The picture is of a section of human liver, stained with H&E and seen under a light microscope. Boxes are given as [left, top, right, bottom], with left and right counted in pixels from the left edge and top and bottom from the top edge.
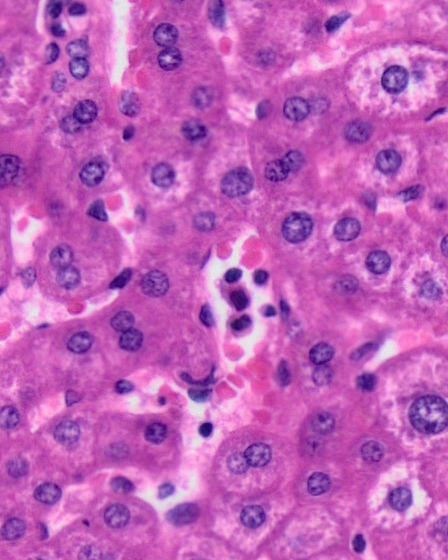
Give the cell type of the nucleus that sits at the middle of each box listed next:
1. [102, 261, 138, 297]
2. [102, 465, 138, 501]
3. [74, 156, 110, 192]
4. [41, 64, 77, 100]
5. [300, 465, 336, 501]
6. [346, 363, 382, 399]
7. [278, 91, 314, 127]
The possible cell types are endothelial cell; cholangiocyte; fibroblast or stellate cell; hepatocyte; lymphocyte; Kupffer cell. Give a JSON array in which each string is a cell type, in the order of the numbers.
["fibroblast or stellate cell", "Kupffer cell", "hepatocyte", "cholangiocyte", "hepatocyte", "fibroblast or stellate cell", "hepatocyte"]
